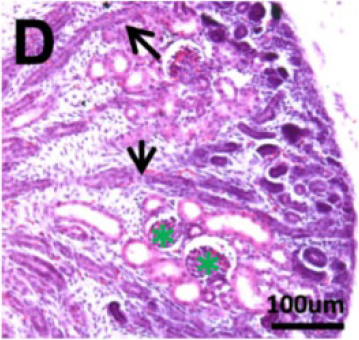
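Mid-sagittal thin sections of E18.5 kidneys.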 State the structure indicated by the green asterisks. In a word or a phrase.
Glomeruli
